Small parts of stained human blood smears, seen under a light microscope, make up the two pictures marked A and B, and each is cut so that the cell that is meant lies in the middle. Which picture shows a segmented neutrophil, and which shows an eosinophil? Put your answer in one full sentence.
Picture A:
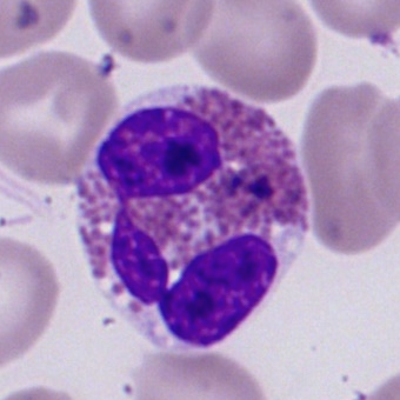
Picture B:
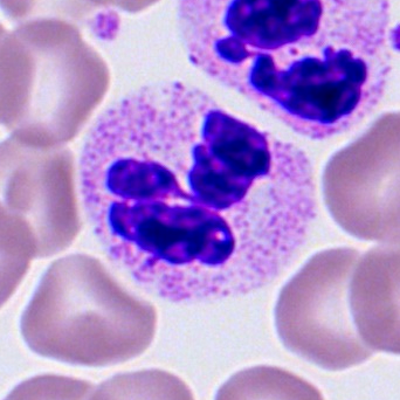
Picture A shows an eosinophil and picture B shows a segmented neutrophil.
